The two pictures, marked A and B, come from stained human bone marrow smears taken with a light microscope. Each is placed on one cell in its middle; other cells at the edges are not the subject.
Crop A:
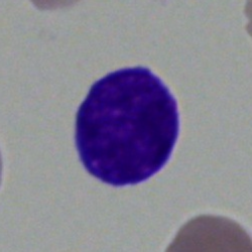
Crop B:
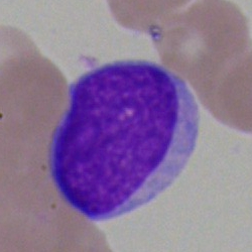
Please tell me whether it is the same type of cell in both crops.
yes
